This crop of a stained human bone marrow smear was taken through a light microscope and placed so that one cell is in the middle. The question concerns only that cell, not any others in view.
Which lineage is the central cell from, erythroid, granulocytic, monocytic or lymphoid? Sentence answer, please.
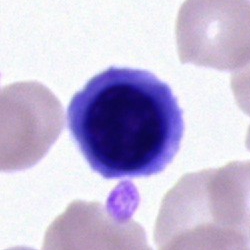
The cell at the center of this crop is of erythroid lineage.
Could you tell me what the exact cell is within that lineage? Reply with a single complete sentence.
In the centre of this crop there is an erythroblast.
